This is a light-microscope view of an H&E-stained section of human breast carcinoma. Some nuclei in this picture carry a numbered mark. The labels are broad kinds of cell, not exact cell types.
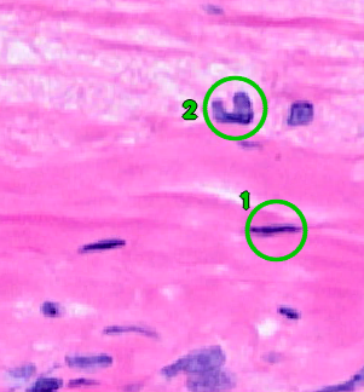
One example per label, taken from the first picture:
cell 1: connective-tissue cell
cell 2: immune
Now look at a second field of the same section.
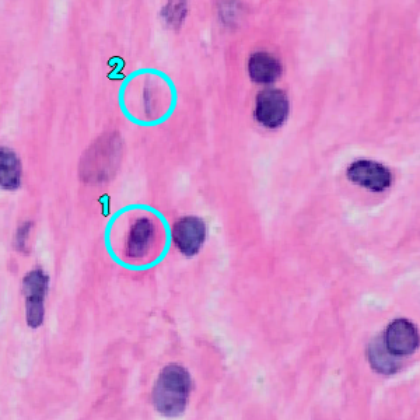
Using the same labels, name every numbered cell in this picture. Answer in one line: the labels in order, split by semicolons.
immune; connective-tissue cell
